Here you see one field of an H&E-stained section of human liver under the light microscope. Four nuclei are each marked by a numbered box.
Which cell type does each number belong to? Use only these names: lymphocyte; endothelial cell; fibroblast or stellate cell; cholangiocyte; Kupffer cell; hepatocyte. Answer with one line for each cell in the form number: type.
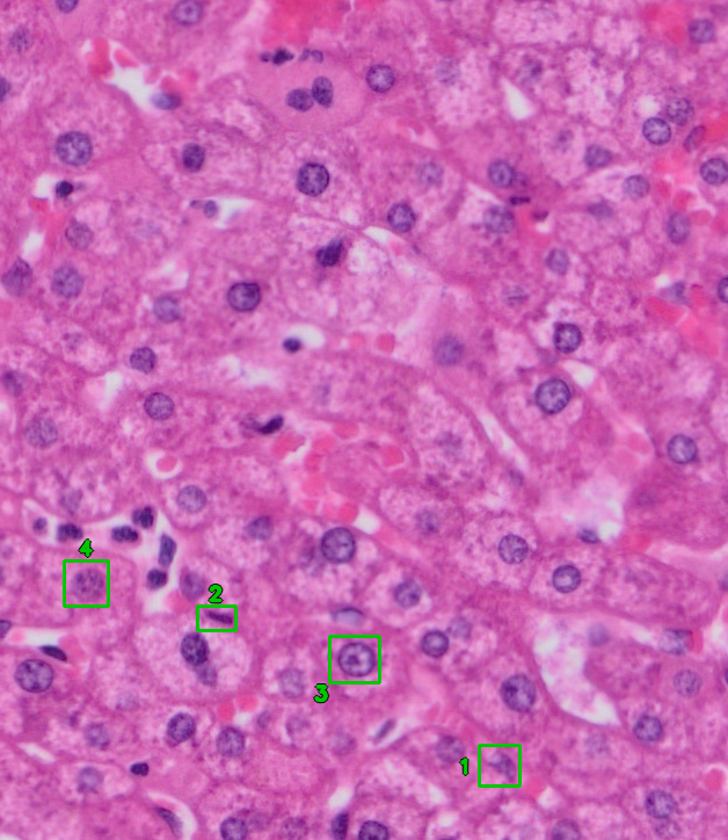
1: endothelial cell
2: fibroblast or stellate cell
3: hepatocyte
4: hepatocyte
